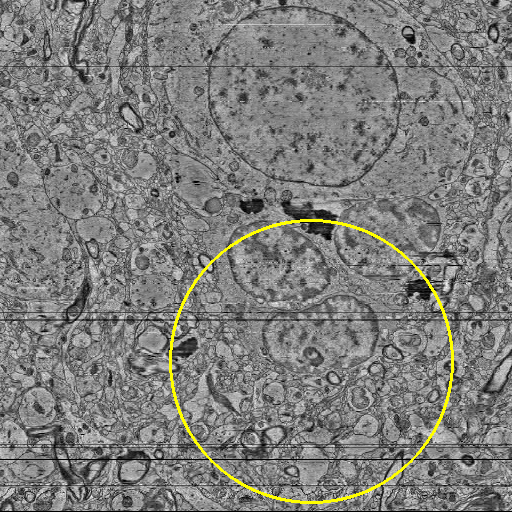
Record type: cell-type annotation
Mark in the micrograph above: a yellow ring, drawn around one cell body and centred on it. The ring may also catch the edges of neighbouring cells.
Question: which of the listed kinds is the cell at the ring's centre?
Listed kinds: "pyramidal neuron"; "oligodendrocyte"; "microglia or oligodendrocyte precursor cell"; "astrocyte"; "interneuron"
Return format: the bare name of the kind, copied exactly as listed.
oligodendrocyte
